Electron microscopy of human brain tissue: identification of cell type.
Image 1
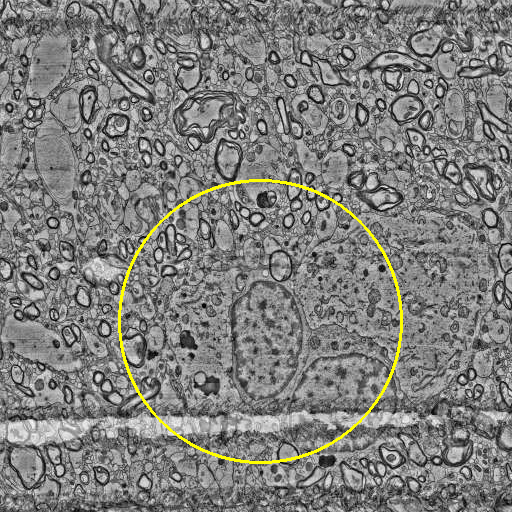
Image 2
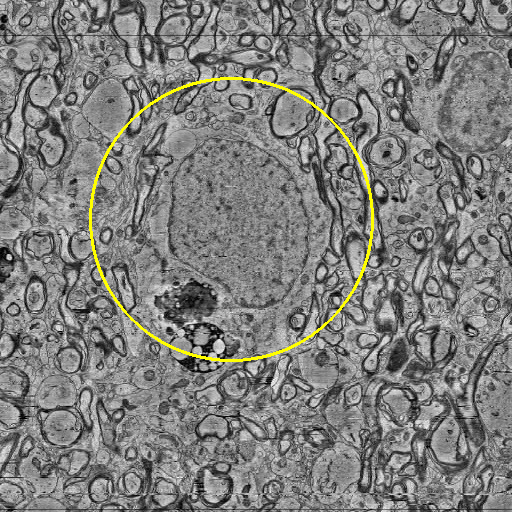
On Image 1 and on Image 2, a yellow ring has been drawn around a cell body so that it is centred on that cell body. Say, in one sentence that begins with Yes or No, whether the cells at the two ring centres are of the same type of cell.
No, the two cells are two separate types of cell.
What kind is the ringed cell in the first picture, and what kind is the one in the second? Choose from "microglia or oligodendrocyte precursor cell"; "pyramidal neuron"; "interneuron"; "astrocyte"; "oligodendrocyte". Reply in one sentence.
The first cell is an oligodendrocyte; the second is an astrocyte.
